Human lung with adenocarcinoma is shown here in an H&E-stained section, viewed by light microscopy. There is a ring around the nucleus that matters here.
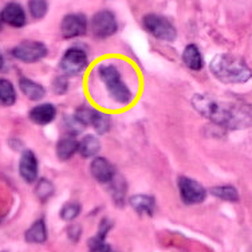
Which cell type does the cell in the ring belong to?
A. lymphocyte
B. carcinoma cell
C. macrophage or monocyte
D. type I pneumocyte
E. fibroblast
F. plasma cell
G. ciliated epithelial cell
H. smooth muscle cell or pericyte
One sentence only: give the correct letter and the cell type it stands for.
Right answer, option A: the cell in the ring is a lymphocyte.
